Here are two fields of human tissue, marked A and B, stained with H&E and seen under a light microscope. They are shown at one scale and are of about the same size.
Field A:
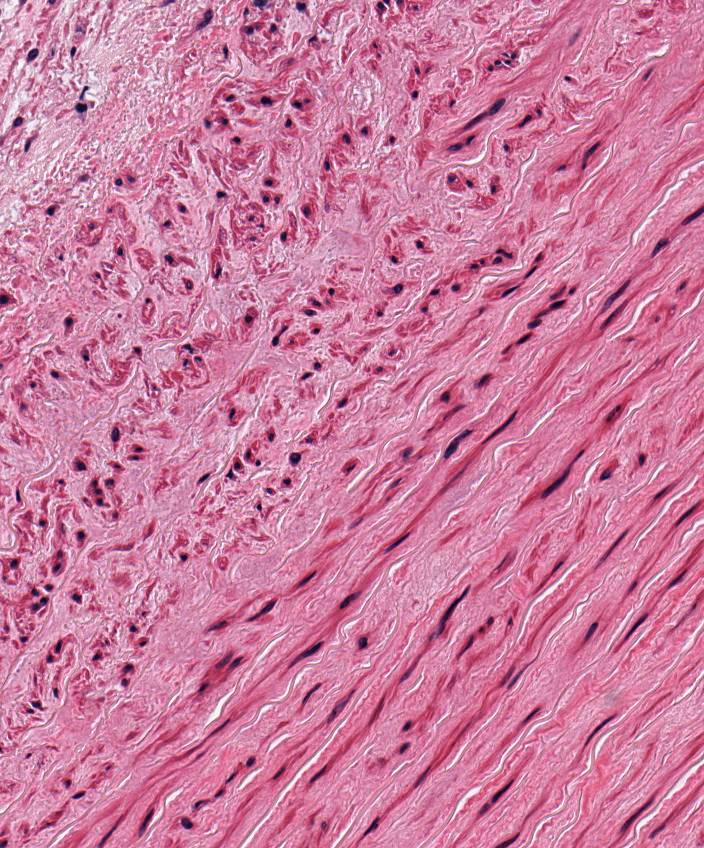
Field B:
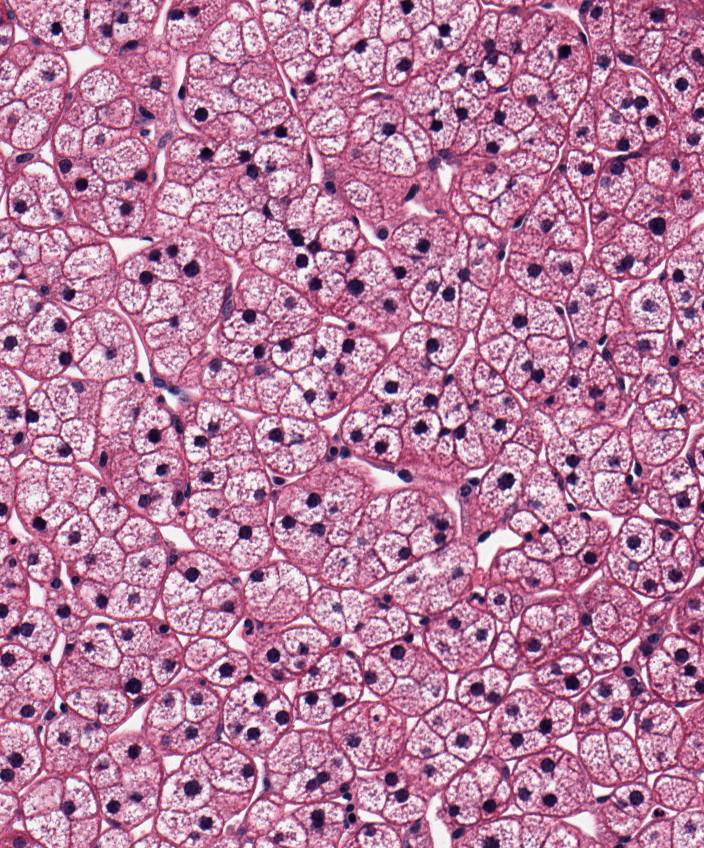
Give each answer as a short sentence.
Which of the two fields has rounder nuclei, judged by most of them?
The nuclei are rounder in field B.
